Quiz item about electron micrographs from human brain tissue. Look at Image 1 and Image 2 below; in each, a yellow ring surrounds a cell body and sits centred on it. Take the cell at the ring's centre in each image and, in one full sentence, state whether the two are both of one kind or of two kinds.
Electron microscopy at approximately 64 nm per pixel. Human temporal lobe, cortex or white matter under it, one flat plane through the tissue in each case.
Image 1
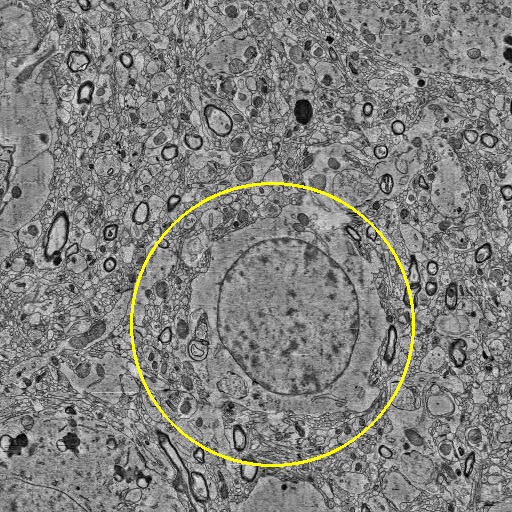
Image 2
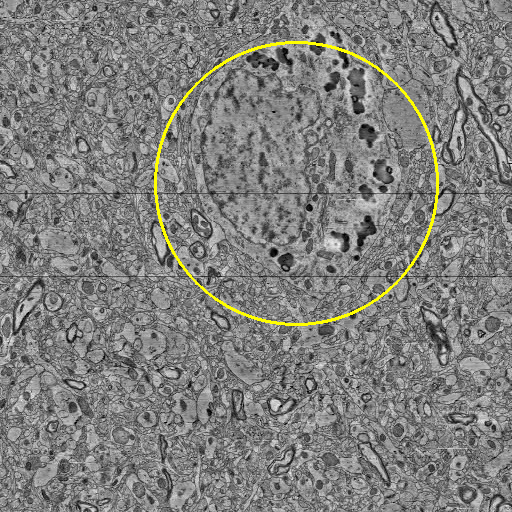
In Image 1 and Image 2, the cells at the ring centres are of two kinds.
